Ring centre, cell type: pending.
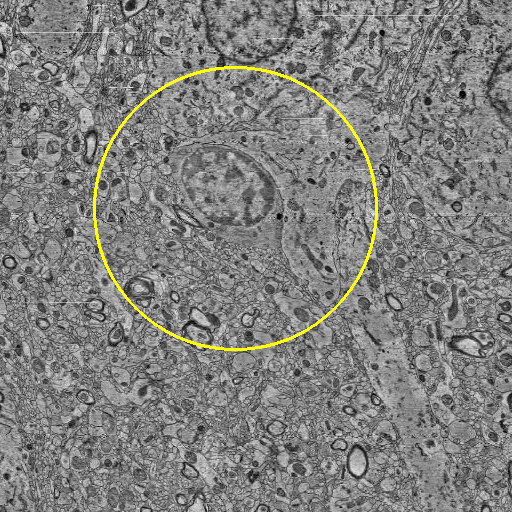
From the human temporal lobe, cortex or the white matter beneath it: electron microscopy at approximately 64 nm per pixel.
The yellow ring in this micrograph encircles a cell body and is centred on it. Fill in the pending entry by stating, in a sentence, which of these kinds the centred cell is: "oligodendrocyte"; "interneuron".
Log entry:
The centred cell is recorded as an oligodendrocyte.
